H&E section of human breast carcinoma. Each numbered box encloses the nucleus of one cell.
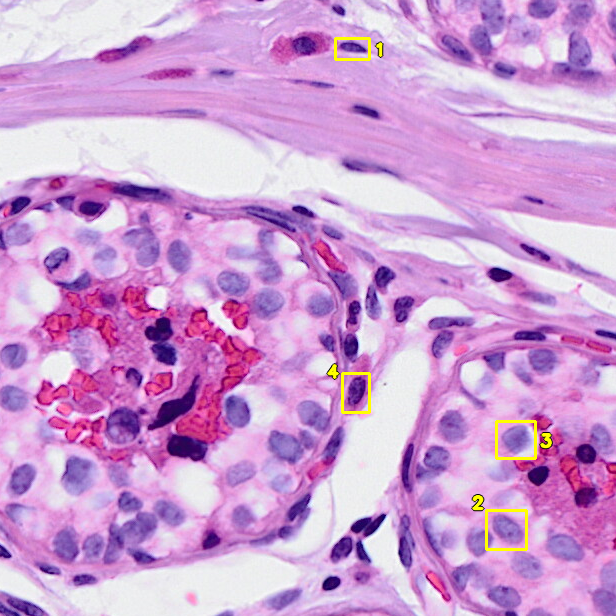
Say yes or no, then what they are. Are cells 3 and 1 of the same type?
No, cell 3 is a carcinoma cell, and cell 1, in contrast, is a fibroblast.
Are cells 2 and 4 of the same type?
No; whereas cell 2 is a carcinoma cell, cell 4 is a mast cell.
